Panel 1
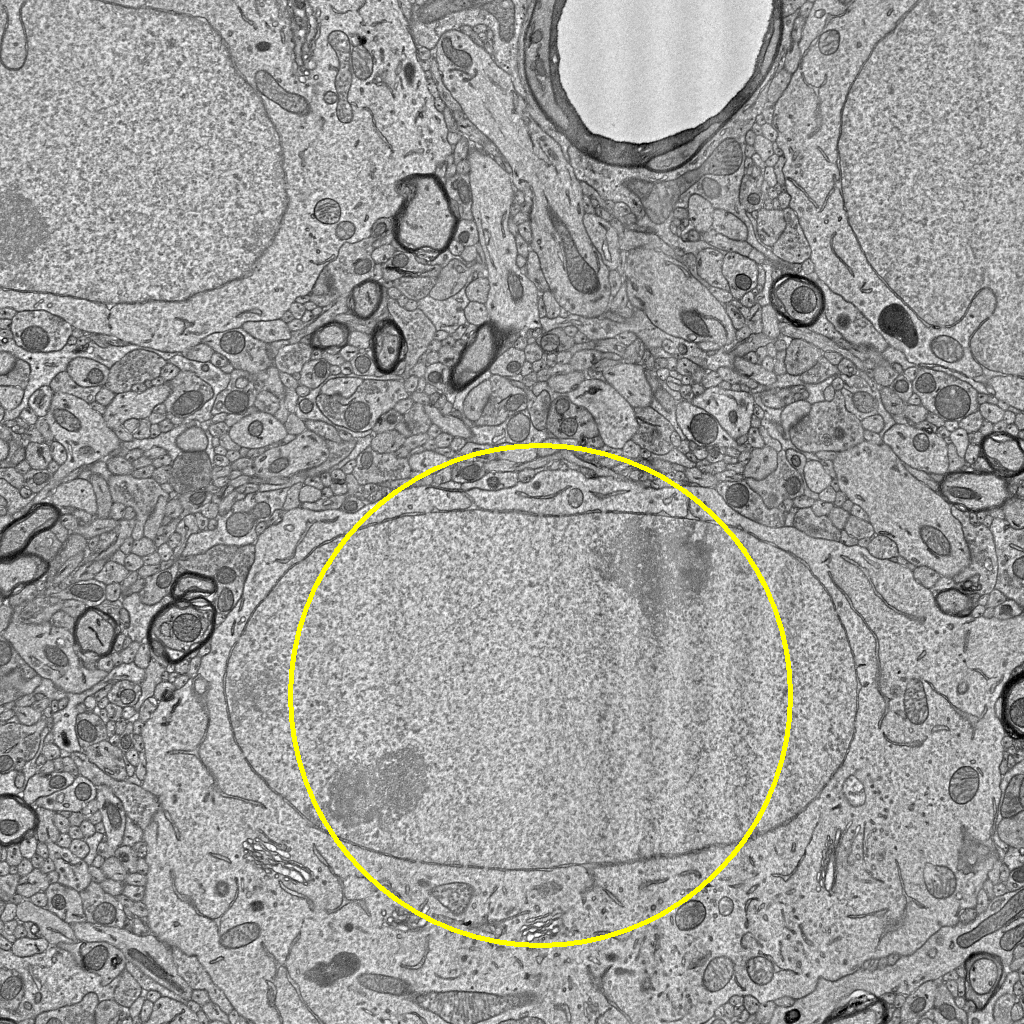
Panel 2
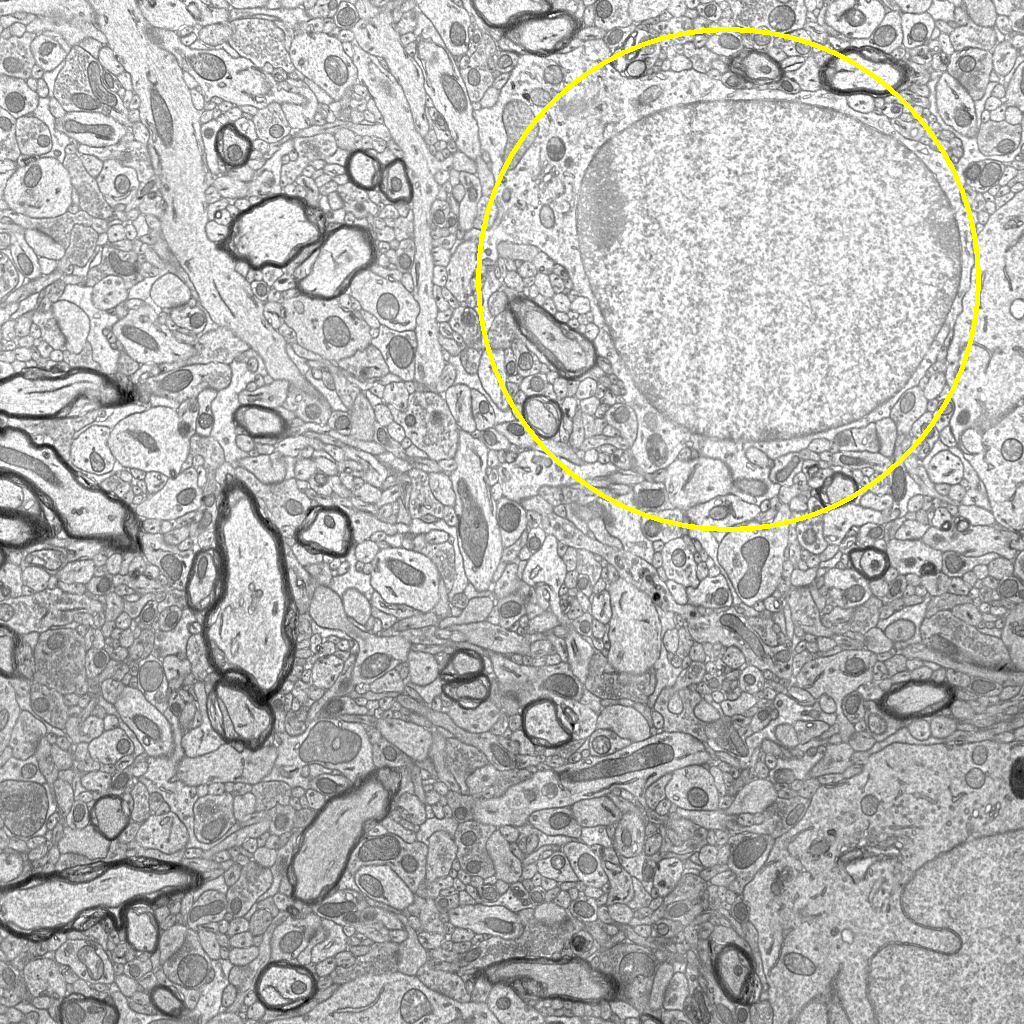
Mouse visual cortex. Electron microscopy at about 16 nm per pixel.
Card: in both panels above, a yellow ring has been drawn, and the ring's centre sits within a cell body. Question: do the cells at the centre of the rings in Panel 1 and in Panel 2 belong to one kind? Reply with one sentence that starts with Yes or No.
No, the cells at the ring centres of Panel 1 and Panel 2 are two kinds of cell.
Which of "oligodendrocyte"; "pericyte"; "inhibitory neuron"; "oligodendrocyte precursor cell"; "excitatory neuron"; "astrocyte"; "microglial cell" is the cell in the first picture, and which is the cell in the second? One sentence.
The first of the two cells is an excitatory neuron, and the second is an astrocyte.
